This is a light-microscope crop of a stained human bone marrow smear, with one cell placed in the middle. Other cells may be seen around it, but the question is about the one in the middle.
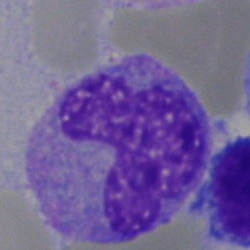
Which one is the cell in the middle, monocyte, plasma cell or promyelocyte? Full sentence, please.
The cell under consideration, at the middle of the crop, is a monocyte.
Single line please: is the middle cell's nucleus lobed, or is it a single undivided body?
There is one compact nucleus, and its shape is round, oval or kidney-like.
